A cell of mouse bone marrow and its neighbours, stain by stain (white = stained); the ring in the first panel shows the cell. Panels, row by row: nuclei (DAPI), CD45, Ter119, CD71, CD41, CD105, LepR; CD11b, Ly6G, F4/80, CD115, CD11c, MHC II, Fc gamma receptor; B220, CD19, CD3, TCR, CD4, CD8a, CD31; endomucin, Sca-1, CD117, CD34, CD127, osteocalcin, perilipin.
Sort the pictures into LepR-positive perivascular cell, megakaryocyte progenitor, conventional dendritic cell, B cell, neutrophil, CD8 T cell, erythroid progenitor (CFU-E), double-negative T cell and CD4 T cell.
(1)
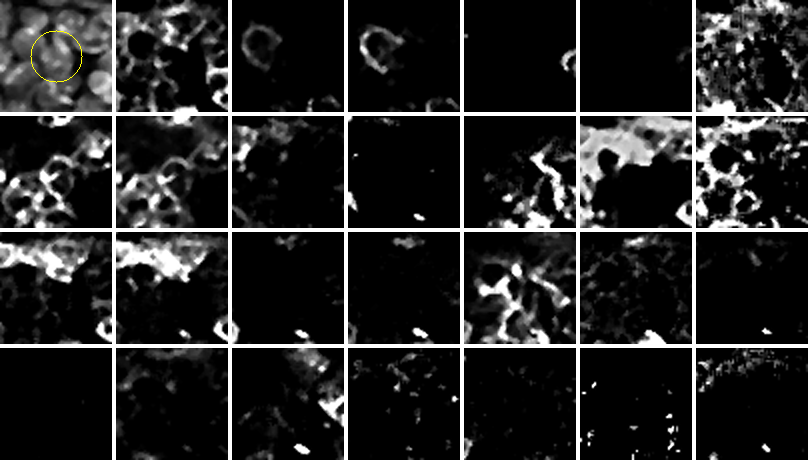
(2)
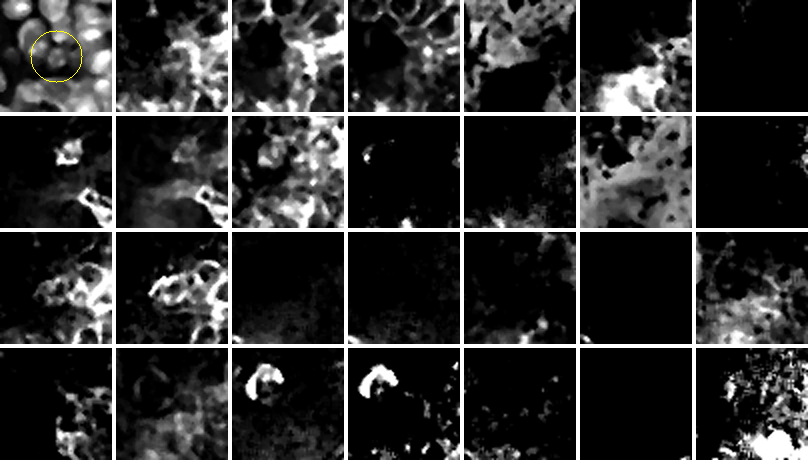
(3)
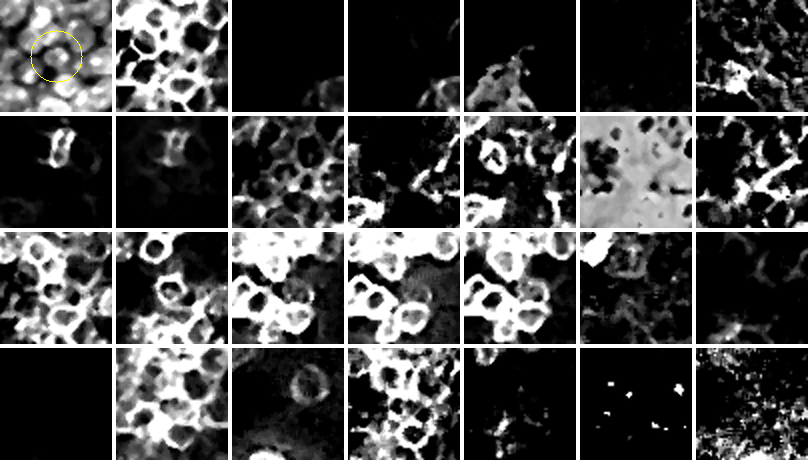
Neutrophils: 1
B cells: 2
CD4 T cells: 3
